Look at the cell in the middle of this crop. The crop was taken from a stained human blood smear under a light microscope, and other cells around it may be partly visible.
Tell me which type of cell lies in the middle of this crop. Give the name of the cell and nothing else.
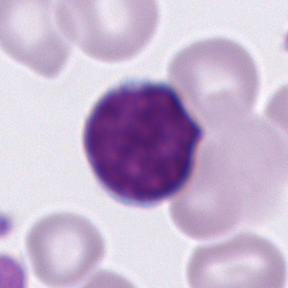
typical lymphocyte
